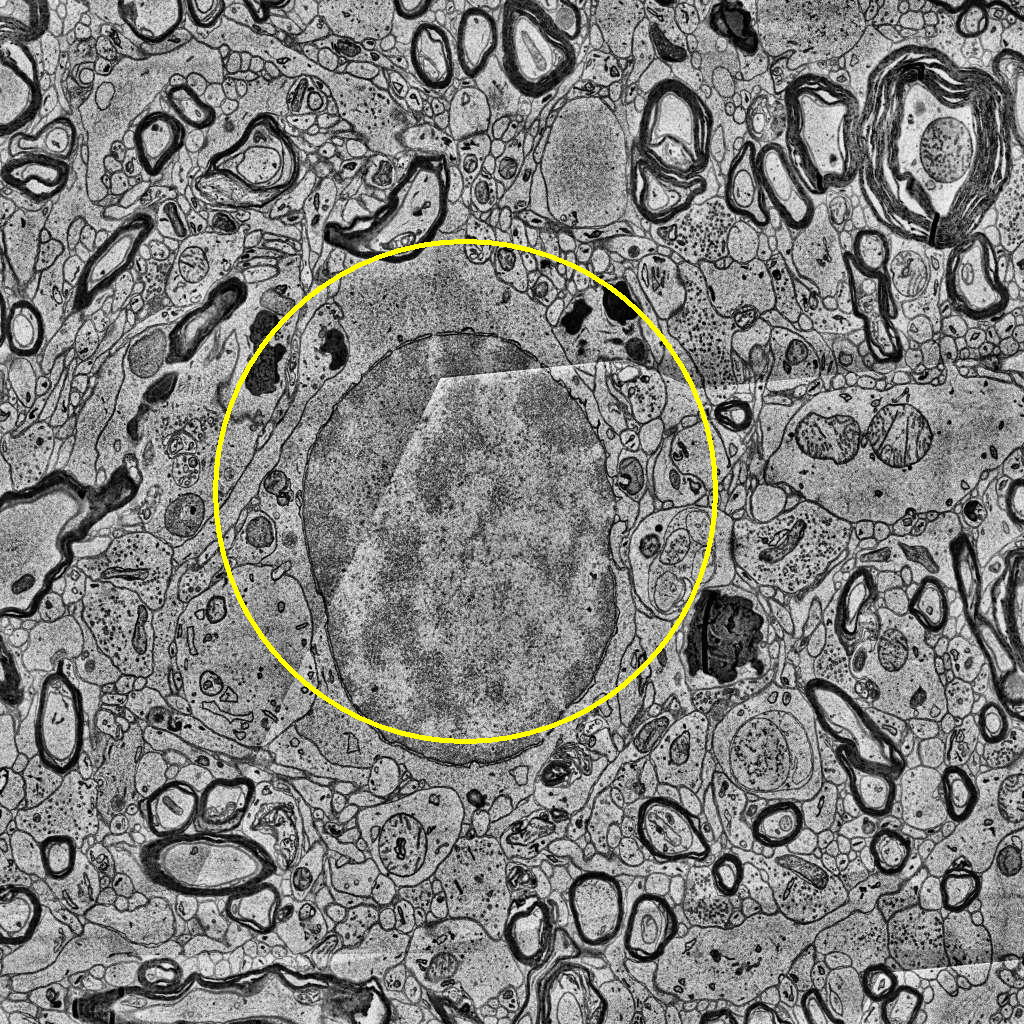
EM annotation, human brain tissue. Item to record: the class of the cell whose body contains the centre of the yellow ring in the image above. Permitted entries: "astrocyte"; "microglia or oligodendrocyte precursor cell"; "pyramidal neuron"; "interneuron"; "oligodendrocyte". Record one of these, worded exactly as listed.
oligodendrocyte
